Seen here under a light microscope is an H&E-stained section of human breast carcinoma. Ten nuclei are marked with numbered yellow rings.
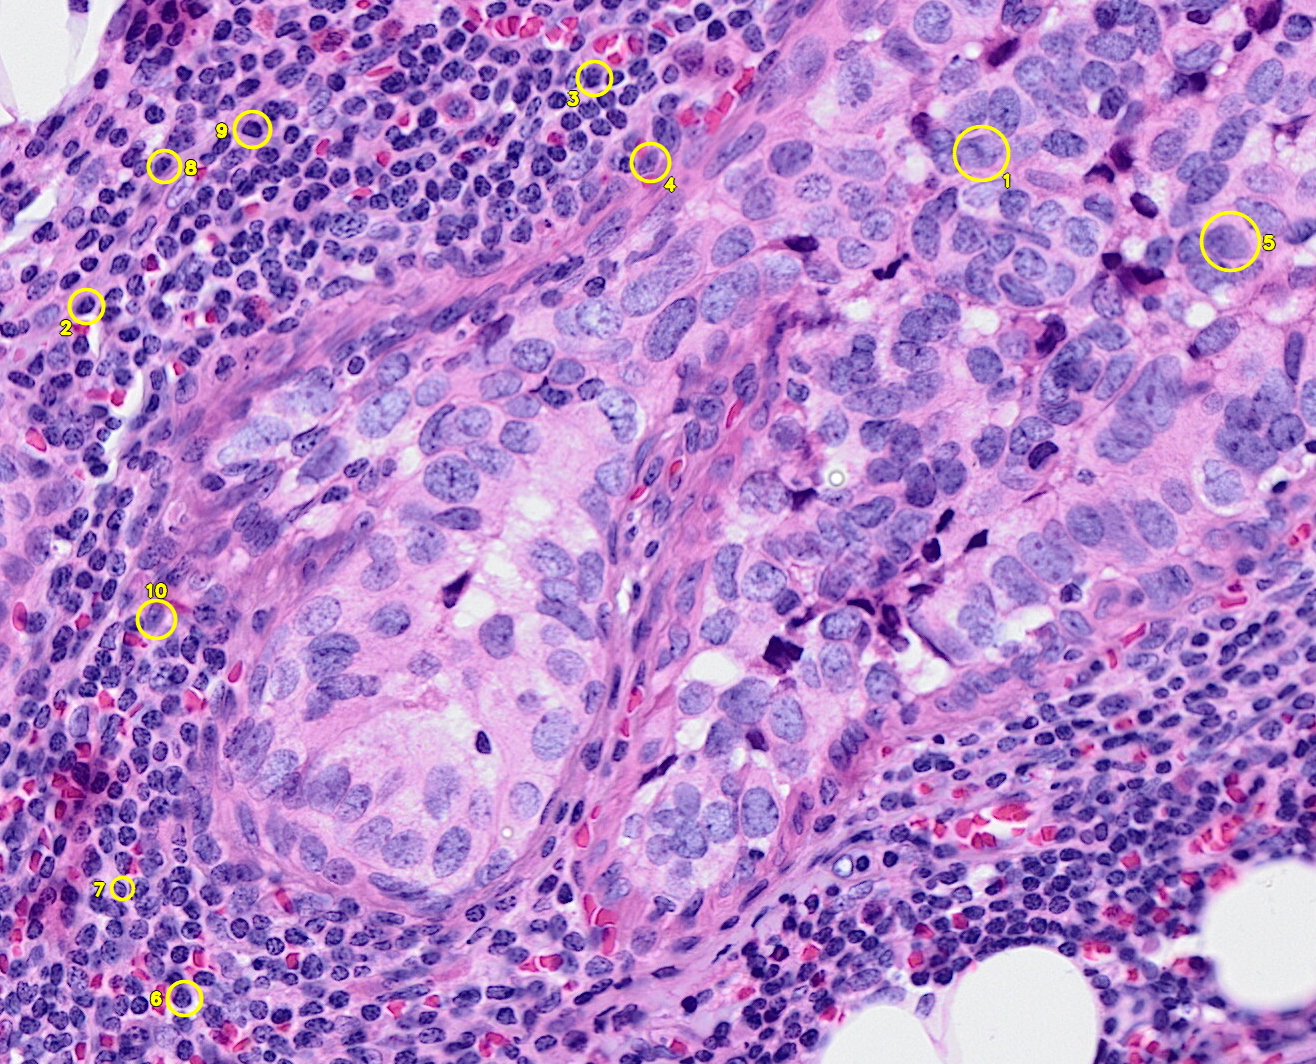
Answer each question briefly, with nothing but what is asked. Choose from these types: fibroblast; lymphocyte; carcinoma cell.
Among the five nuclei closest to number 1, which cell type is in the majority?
carcinoma cell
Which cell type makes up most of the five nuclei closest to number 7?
lymphocyte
